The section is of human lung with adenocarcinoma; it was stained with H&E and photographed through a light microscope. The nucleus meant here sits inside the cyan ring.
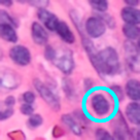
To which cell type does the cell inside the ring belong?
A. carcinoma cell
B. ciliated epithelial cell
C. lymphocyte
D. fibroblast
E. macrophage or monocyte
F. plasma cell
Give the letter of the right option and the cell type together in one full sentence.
That the cell inside the ring is a lymphocyte makes option C the correct choice.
